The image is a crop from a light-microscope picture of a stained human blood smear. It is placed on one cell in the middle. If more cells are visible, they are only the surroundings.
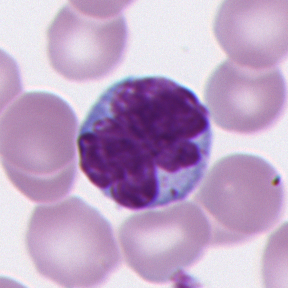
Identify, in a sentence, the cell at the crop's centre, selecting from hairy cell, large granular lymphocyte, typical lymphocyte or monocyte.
Centred in the crop is a large granular lymphocyte.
